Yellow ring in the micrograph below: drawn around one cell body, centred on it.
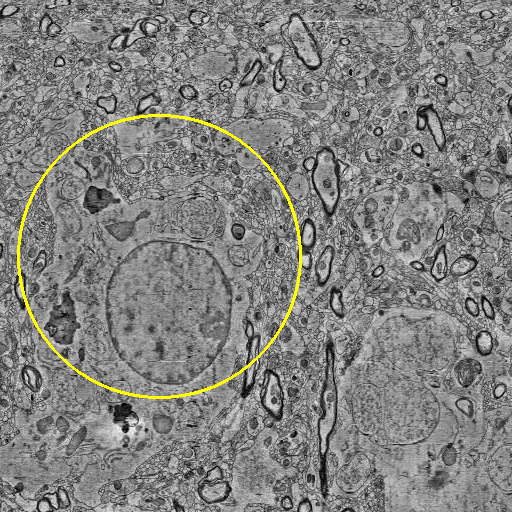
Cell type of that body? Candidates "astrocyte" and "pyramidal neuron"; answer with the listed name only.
astrocyte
